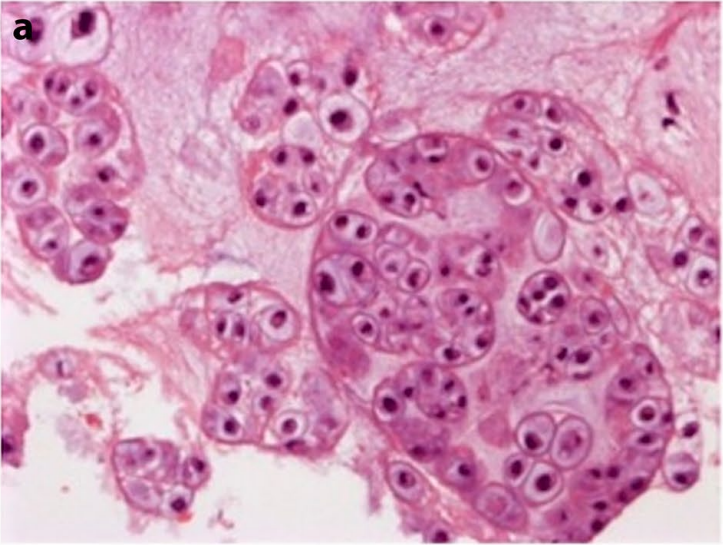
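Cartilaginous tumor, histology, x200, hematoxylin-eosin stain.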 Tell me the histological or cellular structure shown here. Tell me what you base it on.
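Small lobules. Cells are grouped in rounded clusters separated by pale matrix. The clusters vary in size, one large and several smaller.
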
